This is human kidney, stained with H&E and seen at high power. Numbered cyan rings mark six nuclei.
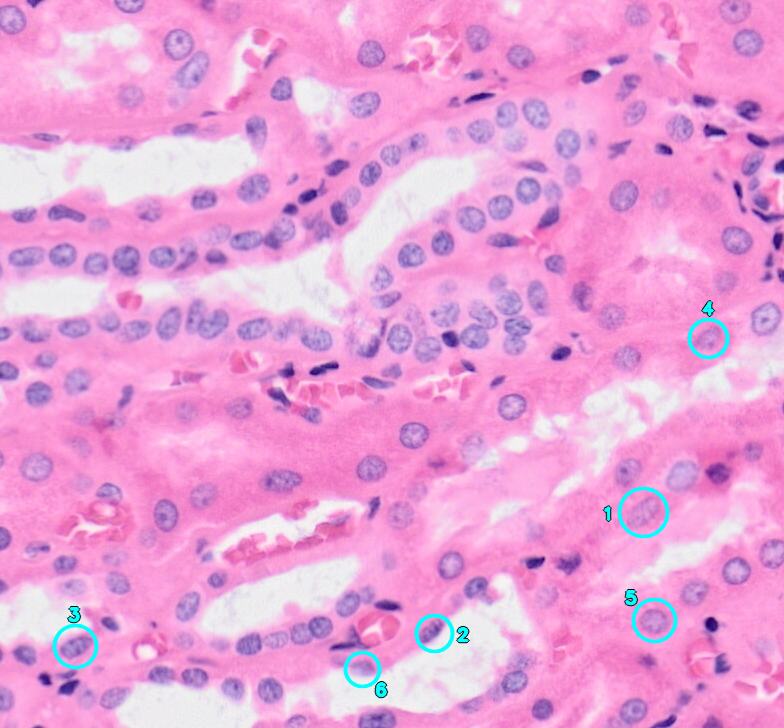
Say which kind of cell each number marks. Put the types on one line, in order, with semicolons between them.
proximal tubule cell; loop of Henle or distal tubule cell; loop of Henle or distal tubule cell; proximal tubule cell; proximal tubule cell; loop of Henle or distal tubule cell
